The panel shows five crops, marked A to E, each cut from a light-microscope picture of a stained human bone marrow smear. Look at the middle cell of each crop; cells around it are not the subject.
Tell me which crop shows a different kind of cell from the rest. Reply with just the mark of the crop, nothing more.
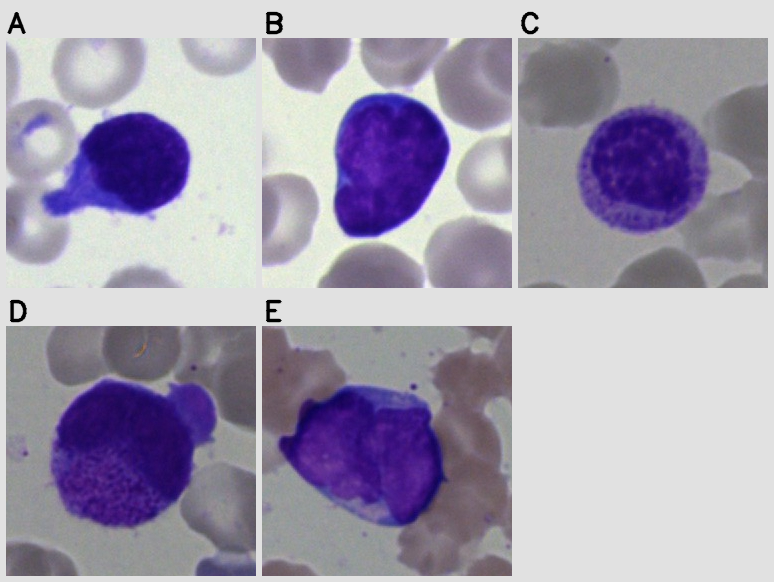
C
